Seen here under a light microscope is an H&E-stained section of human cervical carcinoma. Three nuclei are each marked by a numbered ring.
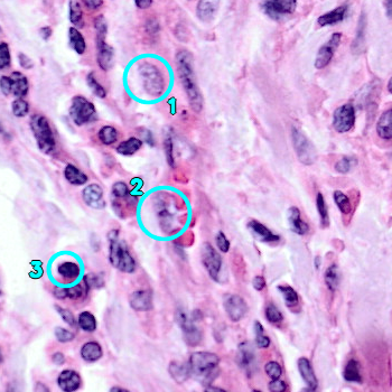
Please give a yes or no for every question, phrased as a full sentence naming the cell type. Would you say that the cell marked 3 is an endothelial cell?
No, number 3 is not an endothelial cell; it is a lymphocyte.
